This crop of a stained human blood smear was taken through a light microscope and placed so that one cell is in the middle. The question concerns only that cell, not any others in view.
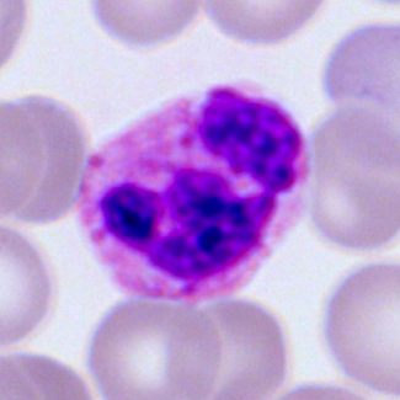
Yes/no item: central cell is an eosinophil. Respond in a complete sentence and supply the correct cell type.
No, it is a basophil and not an eosinophil that occupies the middle of the crop.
